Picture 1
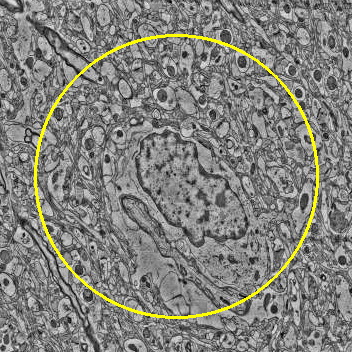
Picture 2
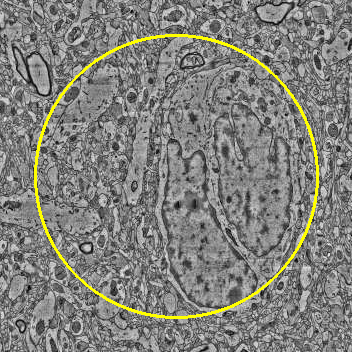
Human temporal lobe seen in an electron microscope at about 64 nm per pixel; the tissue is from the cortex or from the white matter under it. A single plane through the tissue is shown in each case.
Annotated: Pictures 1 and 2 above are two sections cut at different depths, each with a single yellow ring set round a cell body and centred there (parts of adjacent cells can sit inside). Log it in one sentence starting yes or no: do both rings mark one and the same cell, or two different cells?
No, each ring encloses a different cell in the tissue.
